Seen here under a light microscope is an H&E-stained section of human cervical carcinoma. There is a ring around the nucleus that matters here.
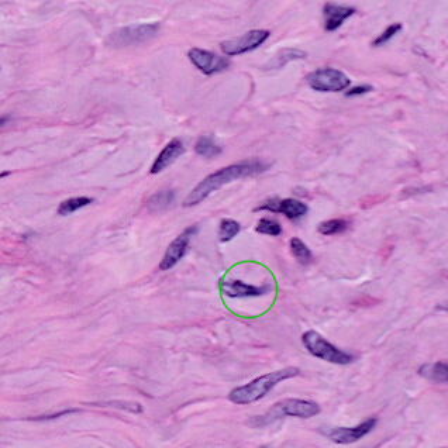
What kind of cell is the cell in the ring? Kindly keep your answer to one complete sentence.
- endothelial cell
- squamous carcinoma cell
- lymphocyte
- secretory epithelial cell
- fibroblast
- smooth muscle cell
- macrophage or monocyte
In the stained section, the cell in the ring is a fibroblast.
